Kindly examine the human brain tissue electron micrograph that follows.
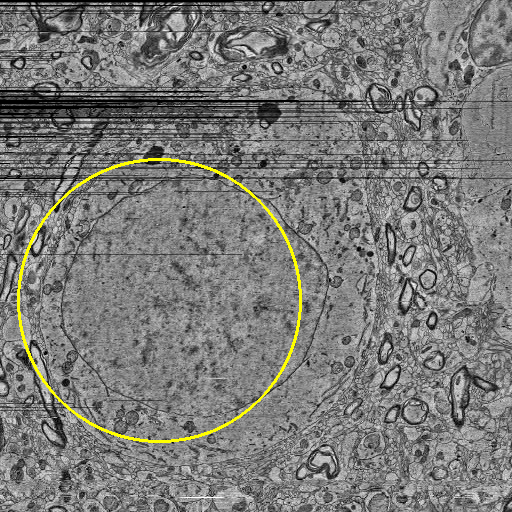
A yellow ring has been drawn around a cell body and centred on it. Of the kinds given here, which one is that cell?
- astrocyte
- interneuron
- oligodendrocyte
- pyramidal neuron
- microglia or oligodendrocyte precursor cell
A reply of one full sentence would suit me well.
The micrograph's ringed cell, the one at the ring's centre, is a pyramidal neuron.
